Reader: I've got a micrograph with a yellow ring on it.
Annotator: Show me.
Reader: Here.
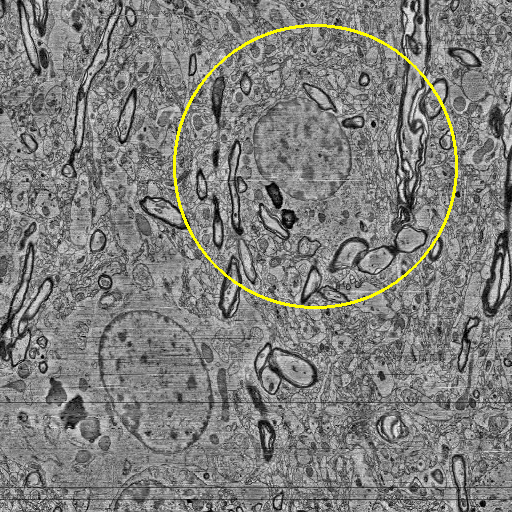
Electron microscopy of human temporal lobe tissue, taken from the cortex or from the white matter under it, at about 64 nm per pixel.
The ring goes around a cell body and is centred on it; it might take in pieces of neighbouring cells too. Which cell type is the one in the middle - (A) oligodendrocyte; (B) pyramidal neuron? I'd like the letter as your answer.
A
